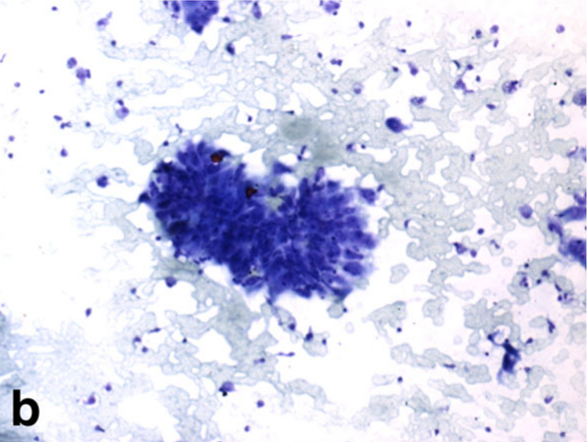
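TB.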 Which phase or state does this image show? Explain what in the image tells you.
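Clusters. A single dense, cohesive group of crowded dark-staining cells sits in the centre. Nuclei in the group overlap one another. Small scattered cells lie around the group.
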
